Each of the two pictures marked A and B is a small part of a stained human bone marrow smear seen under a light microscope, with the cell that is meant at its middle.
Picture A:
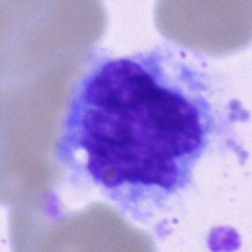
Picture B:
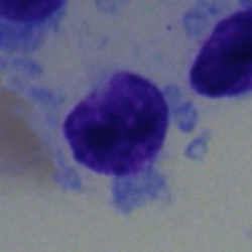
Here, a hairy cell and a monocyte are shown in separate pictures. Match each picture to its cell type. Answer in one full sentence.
In picture A the cell is a monocyte; in picture B, a hairy cell.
